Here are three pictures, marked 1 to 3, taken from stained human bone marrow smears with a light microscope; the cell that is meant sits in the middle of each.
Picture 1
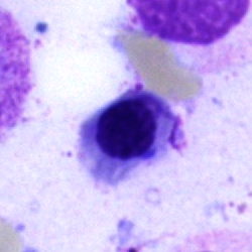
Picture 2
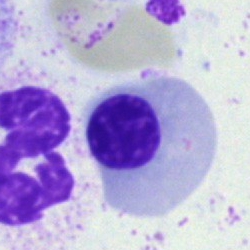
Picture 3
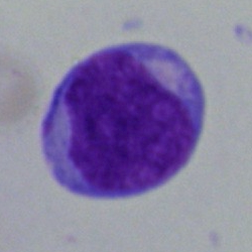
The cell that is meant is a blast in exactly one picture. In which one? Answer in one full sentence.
It is picture 3 that shows the blast.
